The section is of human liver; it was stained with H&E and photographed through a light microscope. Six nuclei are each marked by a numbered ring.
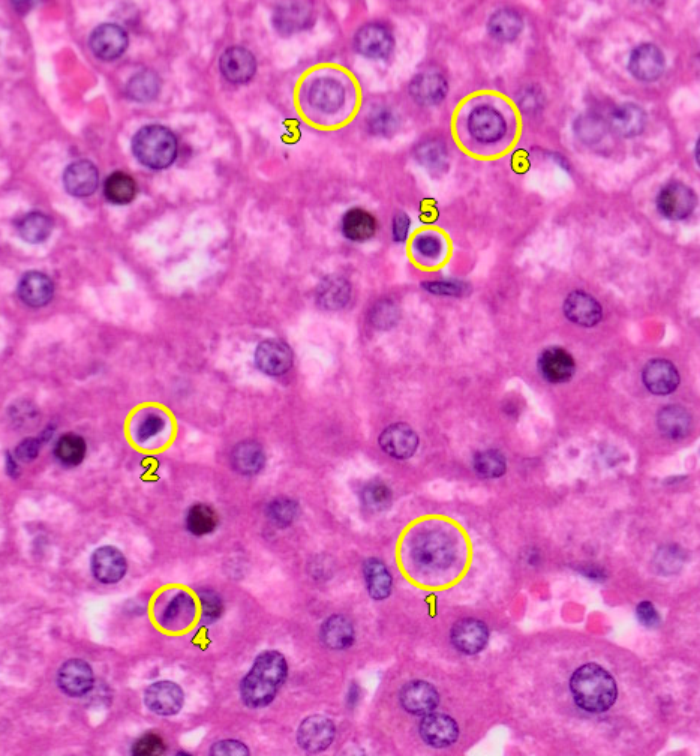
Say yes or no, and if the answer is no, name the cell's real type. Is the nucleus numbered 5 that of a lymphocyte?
Yes.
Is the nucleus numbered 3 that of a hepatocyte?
Yes.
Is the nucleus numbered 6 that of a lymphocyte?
No, it is a hepatocyte.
